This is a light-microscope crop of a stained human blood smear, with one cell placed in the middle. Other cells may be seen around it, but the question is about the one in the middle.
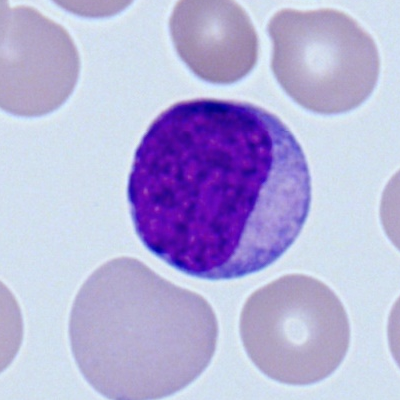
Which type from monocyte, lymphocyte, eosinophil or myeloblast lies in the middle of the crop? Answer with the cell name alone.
myeloblast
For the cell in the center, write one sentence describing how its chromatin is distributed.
The chromatin in this nucleus is coarsely clumped.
